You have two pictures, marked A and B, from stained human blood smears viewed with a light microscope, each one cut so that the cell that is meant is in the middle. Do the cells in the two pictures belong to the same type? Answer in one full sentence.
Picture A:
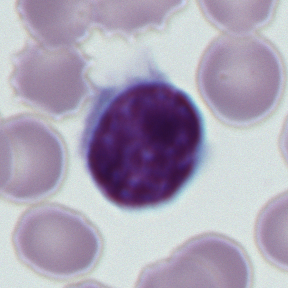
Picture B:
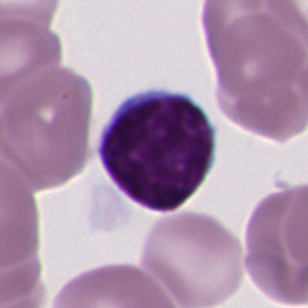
Yes, the two pictures both show typical lymphocytes.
